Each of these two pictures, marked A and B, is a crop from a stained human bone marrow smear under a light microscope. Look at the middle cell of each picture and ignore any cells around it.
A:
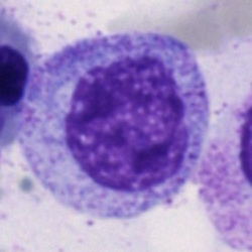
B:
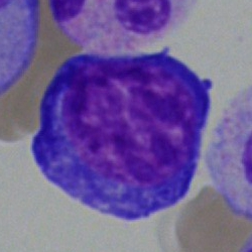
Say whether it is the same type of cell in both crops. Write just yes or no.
no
